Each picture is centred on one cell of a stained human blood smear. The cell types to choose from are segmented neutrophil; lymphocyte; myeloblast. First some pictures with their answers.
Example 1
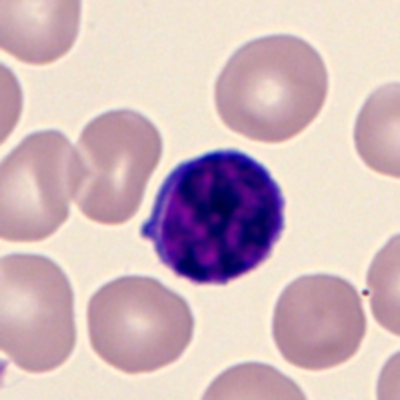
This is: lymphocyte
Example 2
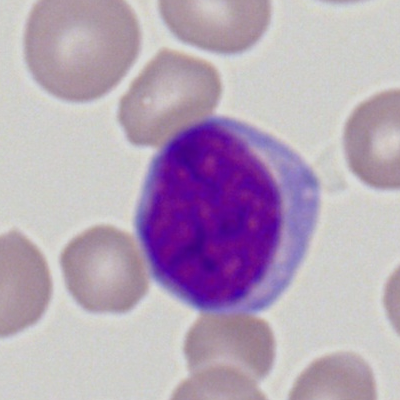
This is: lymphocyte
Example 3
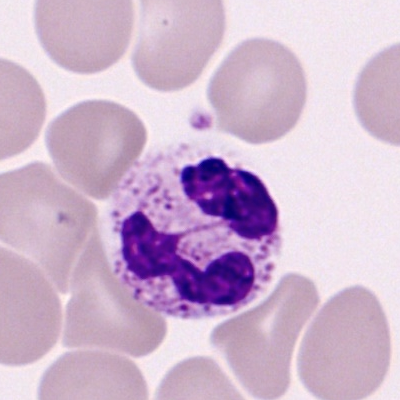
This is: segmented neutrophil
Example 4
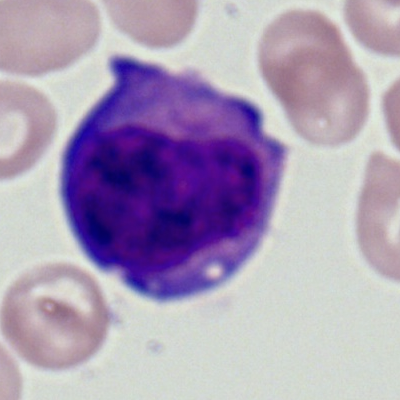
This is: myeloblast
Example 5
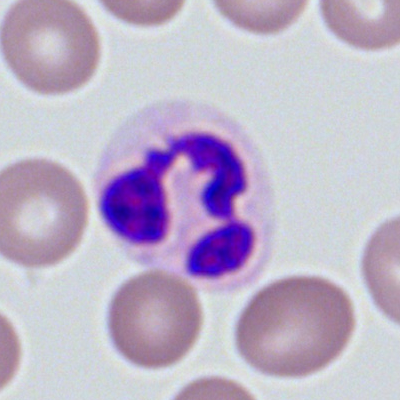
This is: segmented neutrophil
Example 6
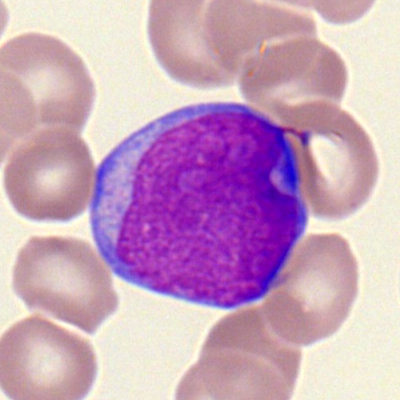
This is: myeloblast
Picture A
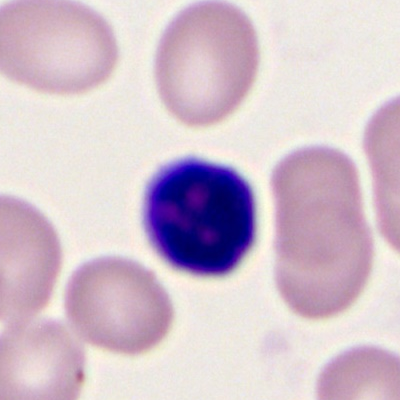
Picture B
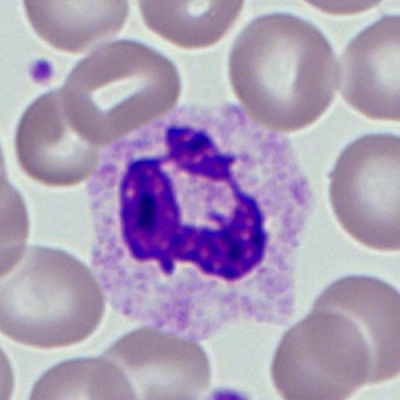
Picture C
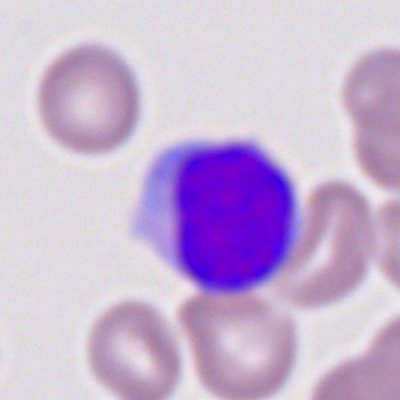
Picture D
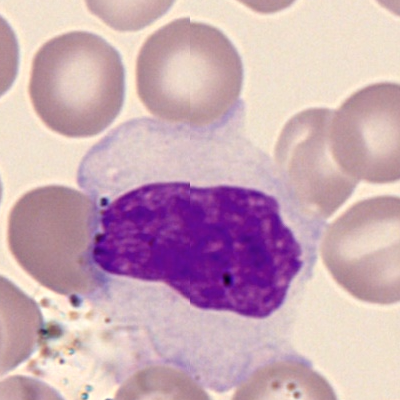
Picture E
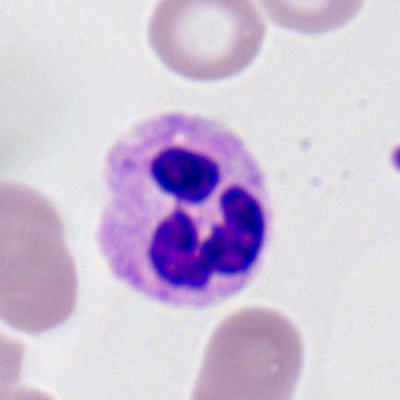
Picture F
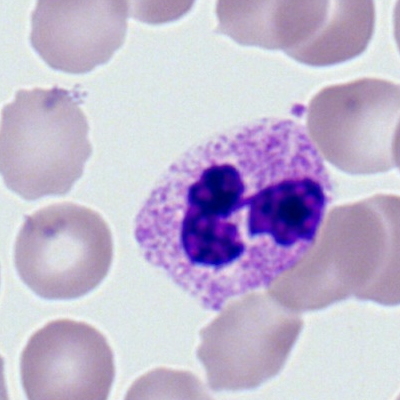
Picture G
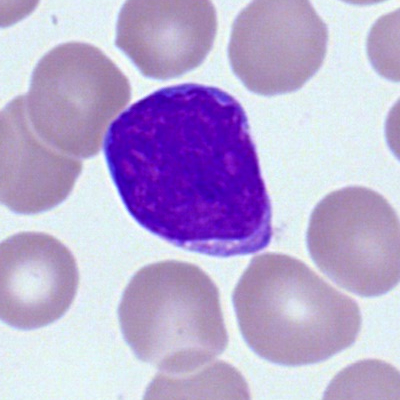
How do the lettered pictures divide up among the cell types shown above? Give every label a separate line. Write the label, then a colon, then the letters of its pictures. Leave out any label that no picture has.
segmented neutrophil: B, E, F
lymphocyte: A, C, D
myeloblast: G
